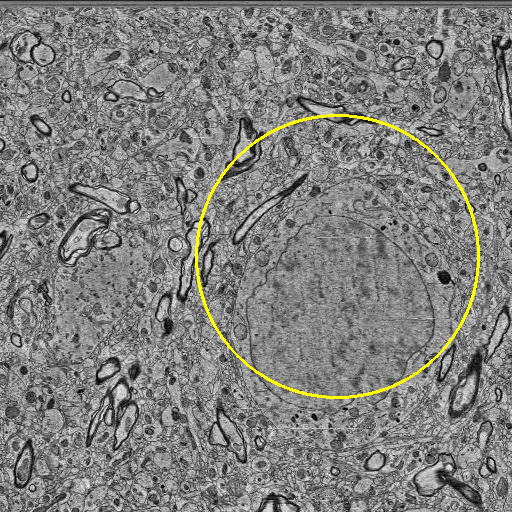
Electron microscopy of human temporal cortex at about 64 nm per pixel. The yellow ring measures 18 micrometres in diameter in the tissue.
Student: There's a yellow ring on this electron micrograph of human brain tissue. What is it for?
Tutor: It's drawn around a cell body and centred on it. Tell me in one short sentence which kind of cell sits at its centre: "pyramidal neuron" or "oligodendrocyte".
The cell at the centre of the ring is a pyramidal neuron.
